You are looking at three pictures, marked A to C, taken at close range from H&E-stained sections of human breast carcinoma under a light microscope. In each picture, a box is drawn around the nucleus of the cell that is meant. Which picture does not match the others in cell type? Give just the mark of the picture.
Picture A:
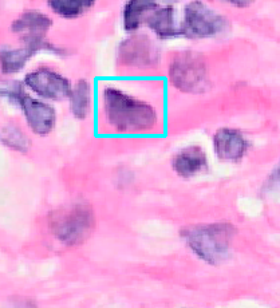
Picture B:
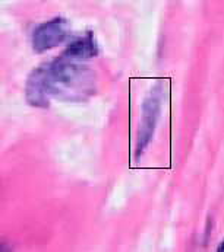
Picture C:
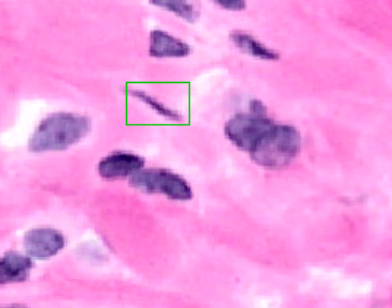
A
